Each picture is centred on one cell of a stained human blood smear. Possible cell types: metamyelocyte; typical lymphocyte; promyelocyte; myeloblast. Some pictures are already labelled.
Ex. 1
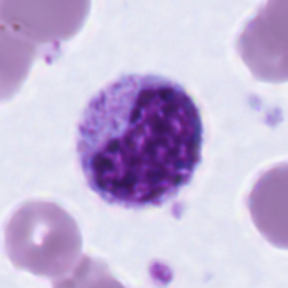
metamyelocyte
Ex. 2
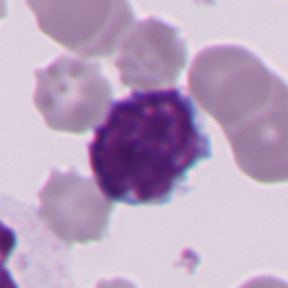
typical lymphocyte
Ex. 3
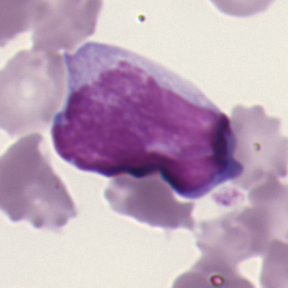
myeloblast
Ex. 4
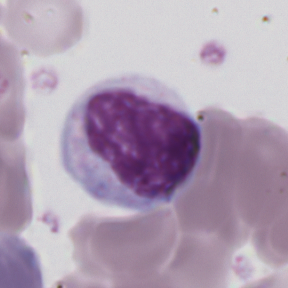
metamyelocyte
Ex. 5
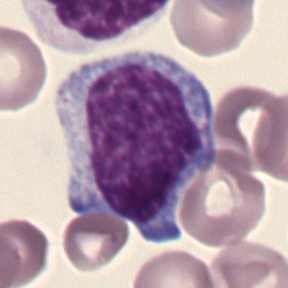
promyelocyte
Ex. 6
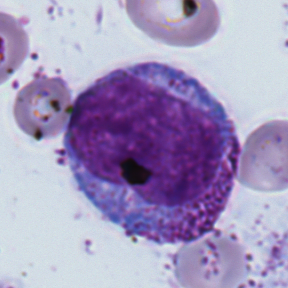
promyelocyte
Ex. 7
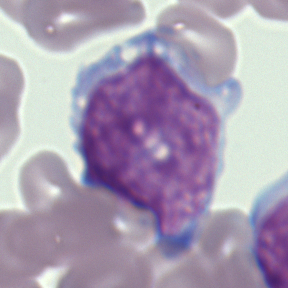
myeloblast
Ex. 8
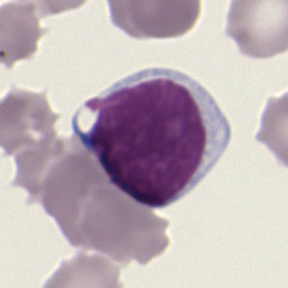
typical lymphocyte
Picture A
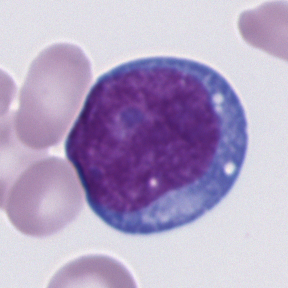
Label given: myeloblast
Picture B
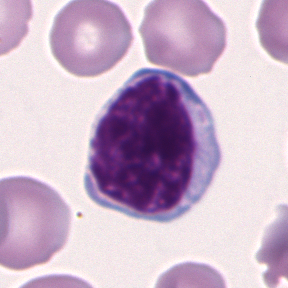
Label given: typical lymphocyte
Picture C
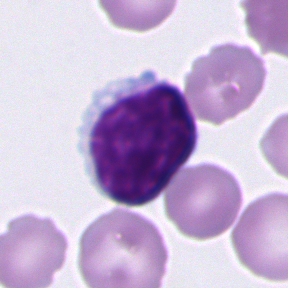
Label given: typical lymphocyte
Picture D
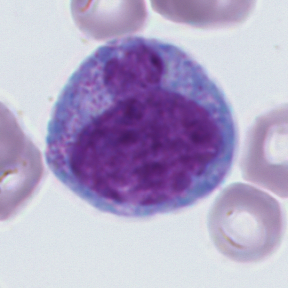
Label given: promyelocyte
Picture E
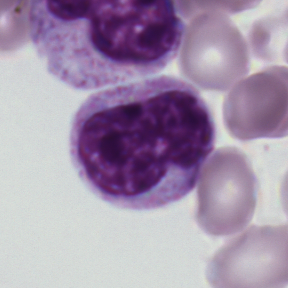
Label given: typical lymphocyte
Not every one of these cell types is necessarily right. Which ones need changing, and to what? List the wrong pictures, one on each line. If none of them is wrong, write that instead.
E: not typical lymphocyte but metamyelocyte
